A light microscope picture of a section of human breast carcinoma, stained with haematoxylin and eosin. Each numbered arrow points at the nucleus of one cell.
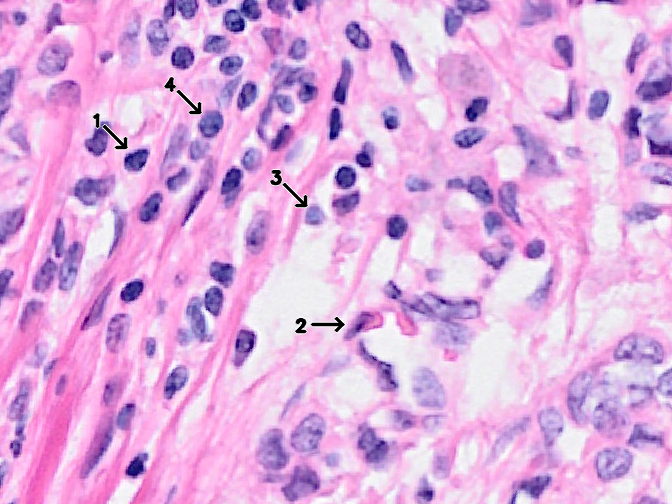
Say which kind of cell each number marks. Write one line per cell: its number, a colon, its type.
1: lymphocyte
2: endothelial cell
3: lymphocyte
4: lymphocyte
